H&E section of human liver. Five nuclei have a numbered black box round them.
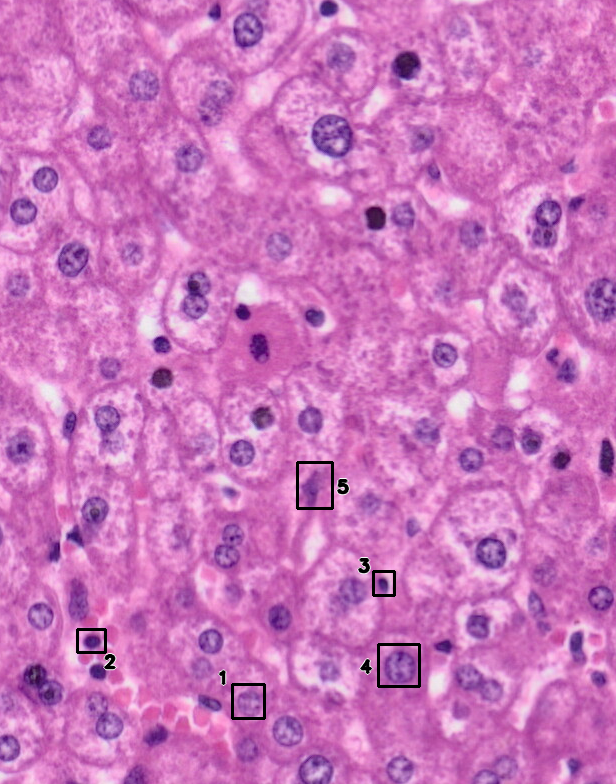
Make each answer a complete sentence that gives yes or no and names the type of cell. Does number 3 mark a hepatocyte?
No, the cell given number 3 is a lymphocyte, not a hepatocyte.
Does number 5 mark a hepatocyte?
No, the cell that carries number 5 is a Kupffer cell, not a hepatocyte.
